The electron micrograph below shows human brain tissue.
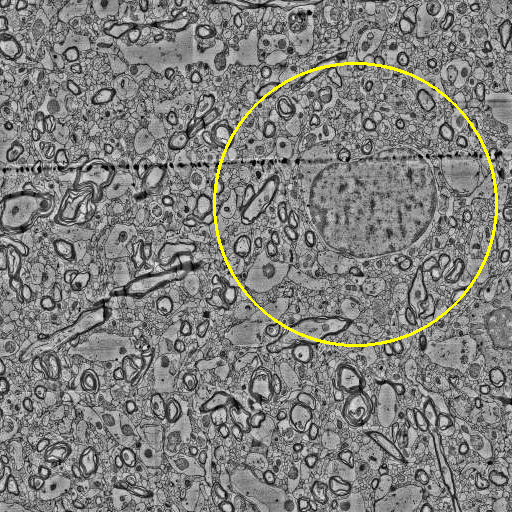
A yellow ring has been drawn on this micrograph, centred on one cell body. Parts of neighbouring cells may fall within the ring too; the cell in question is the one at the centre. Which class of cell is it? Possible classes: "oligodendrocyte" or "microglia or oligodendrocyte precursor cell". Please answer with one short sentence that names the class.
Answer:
In the centre of the ring sits a microglial cell or oligodendrocyte precursor cell.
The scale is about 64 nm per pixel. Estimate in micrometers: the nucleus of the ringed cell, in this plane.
About 9 micrometres by about 7 micrometres in this plane.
